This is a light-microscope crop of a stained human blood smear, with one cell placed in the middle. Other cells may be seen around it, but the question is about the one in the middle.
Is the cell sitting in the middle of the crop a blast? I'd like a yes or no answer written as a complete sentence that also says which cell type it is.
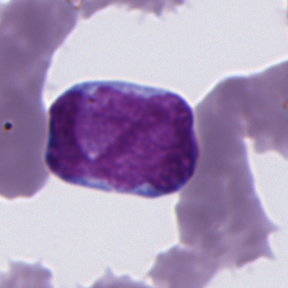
Yes, the cell lying in the centre of the crop is identified as a blast.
